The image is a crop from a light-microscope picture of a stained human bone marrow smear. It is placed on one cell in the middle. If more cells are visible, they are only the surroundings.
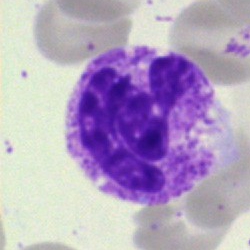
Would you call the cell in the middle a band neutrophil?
no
